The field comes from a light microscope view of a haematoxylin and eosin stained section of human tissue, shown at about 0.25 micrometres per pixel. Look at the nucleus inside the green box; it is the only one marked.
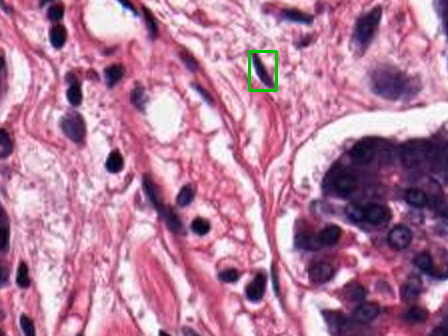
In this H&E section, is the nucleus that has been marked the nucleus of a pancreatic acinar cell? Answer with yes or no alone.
no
